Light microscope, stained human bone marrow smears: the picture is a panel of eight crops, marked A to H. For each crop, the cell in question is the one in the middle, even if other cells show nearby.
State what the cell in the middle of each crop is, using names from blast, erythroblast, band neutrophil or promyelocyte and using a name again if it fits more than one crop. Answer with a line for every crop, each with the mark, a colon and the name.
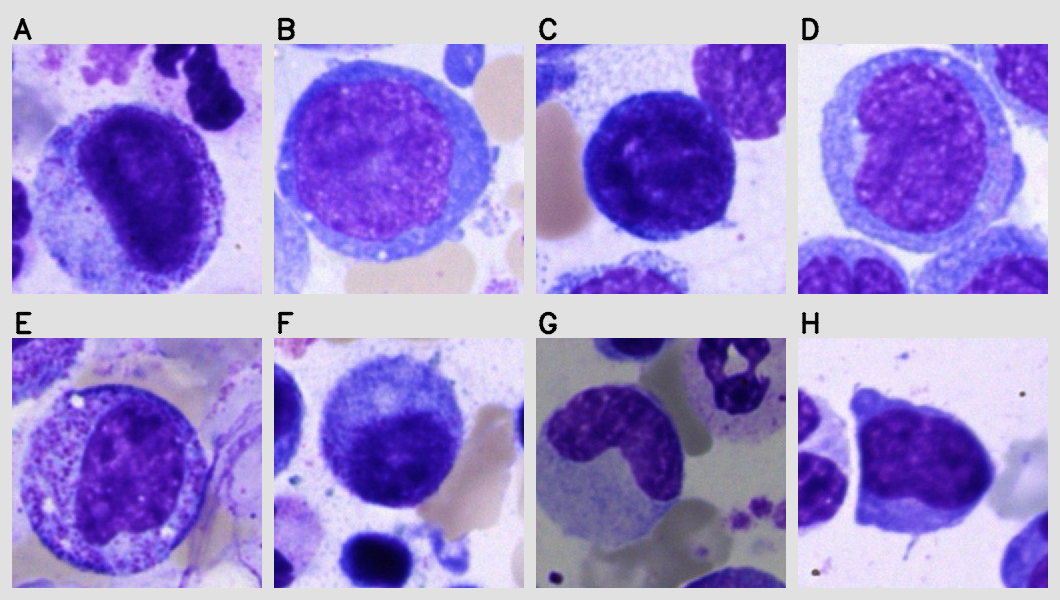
A: promyelocyte
B: blast
C: blast
D: blast
E: promyelocyte
F: promyelocyte
G: band neutrophil
H: blast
